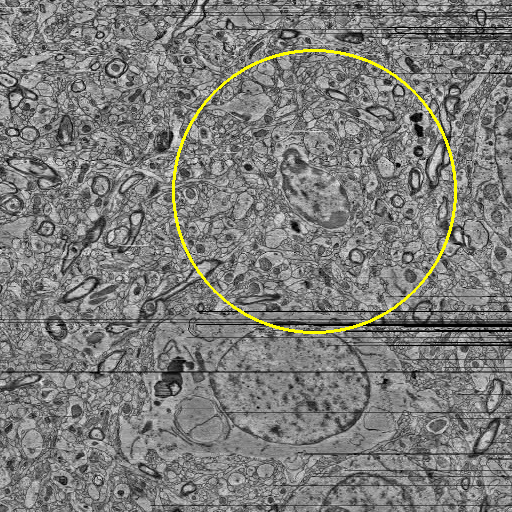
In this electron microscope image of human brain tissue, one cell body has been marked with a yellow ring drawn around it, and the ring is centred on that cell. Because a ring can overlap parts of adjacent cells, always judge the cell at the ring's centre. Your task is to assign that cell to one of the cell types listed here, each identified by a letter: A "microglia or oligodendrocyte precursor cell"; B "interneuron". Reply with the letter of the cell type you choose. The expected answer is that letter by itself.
A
